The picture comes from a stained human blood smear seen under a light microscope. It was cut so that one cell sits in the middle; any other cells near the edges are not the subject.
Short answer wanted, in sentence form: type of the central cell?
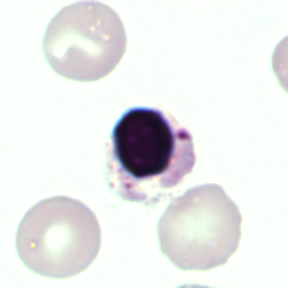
This crop is built around a normoblast at its centre.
